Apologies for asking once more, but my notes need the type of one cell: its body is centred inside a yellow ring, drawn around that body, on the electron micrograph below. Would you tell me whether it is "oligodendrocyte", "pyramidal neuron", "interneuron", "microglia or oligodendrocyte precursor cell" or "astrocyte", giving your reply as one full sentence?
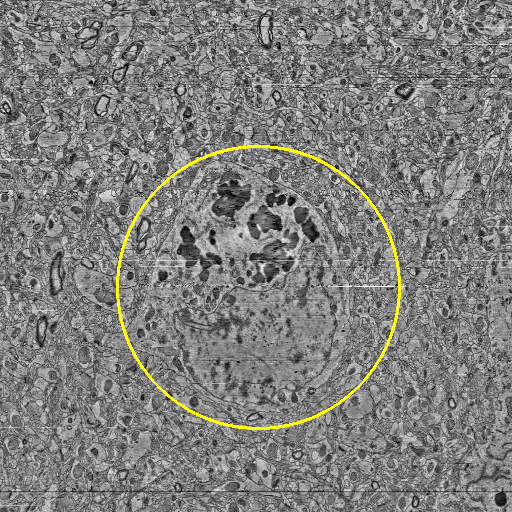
The cell that the yellow ring is centred on is an interneuron in this micrograph.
